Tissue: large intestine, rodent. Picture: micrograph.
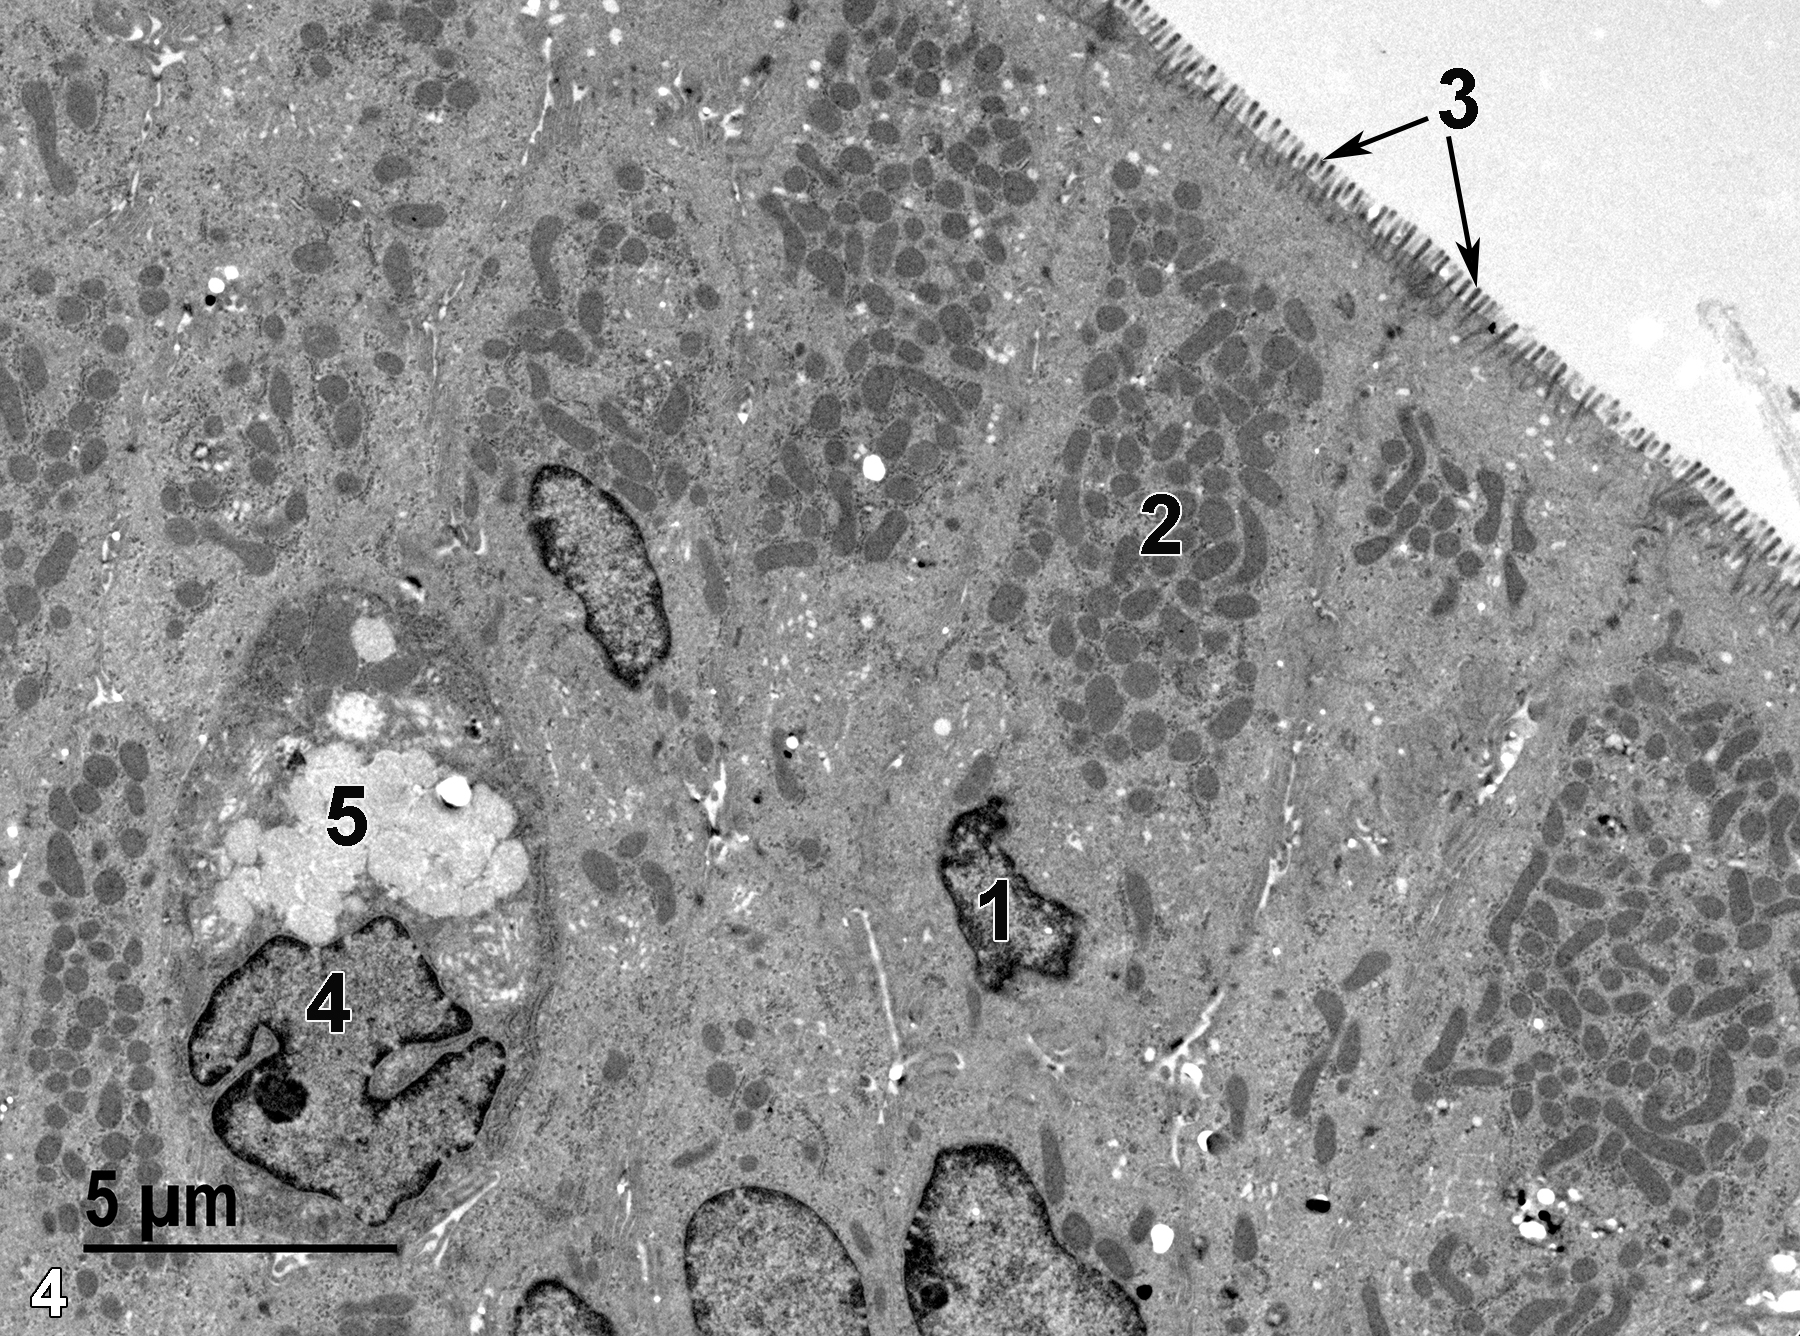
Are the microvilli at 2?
No. The mitochondria.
